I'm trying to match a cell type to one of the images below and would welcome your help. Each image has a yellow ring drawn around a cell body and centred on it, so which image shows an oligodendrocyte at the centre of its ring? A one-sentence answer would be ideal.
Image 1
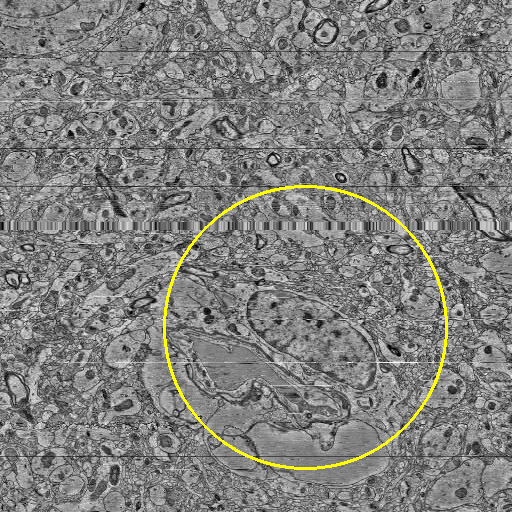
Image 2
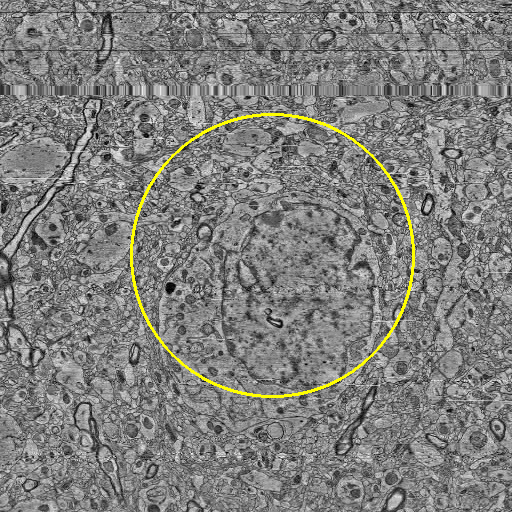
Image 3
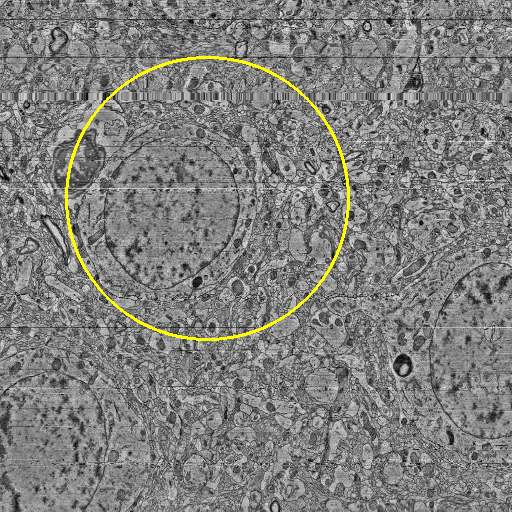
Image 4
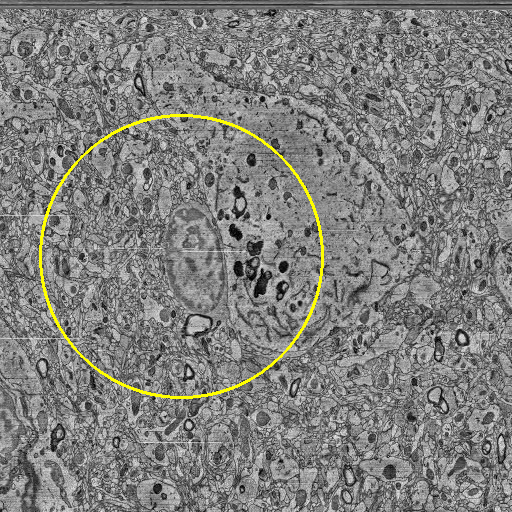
Image 4 shows it at the centre of the ring.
